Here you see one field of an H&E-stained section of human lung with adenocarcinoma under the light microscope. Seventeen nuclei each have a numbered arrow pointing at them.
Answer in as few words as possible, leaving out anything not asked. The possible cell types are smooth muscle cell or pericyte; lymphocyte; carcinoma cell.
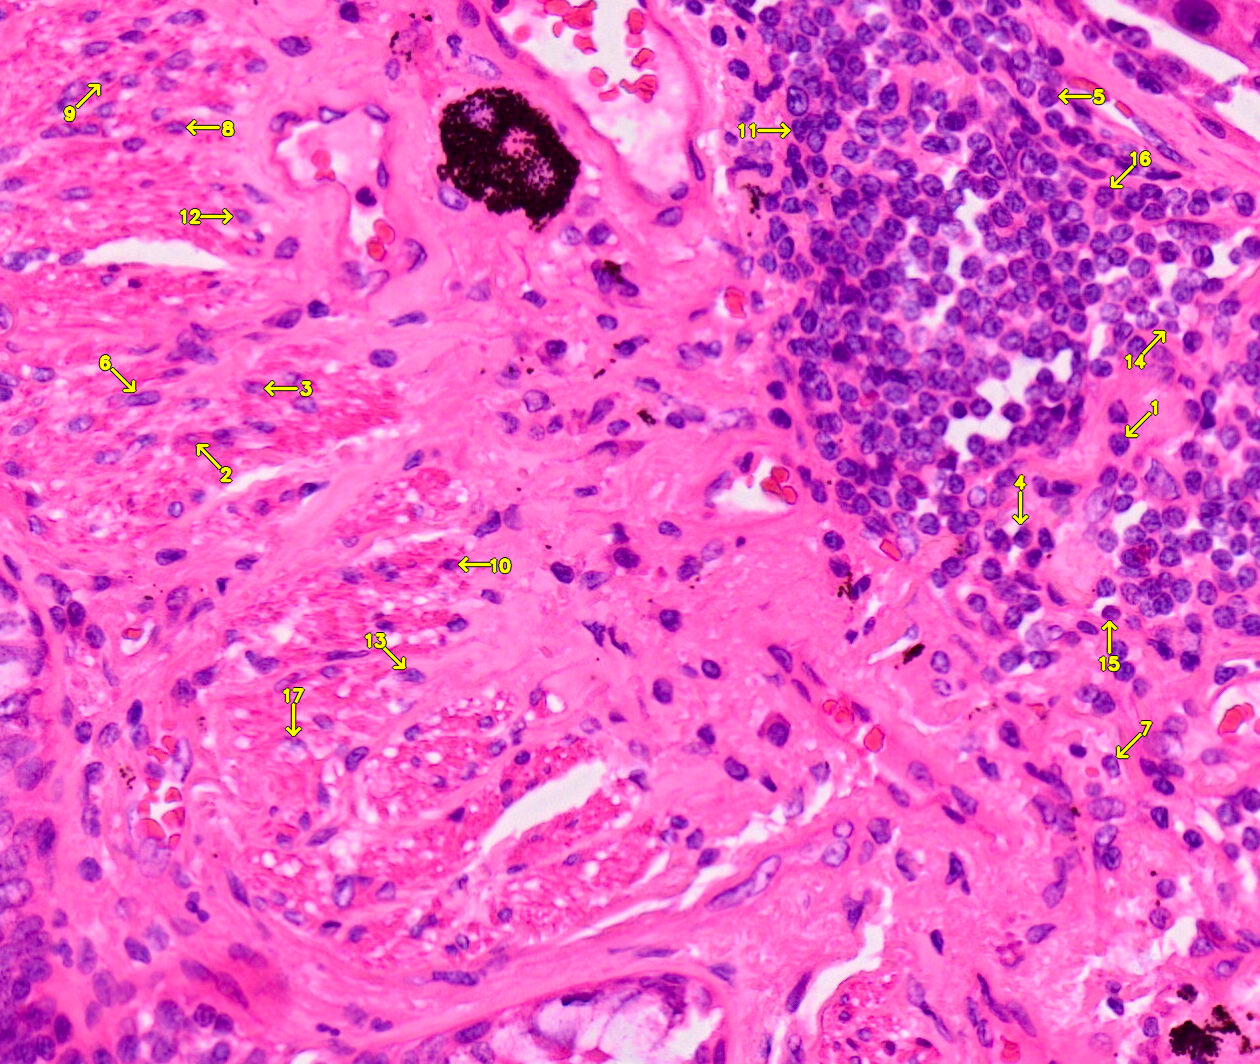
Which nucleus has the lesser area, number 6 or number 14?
14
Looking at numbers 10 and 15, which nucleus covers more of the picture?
15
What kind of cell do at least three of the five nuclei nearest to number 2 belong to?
smooth muscle cell or pericyte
